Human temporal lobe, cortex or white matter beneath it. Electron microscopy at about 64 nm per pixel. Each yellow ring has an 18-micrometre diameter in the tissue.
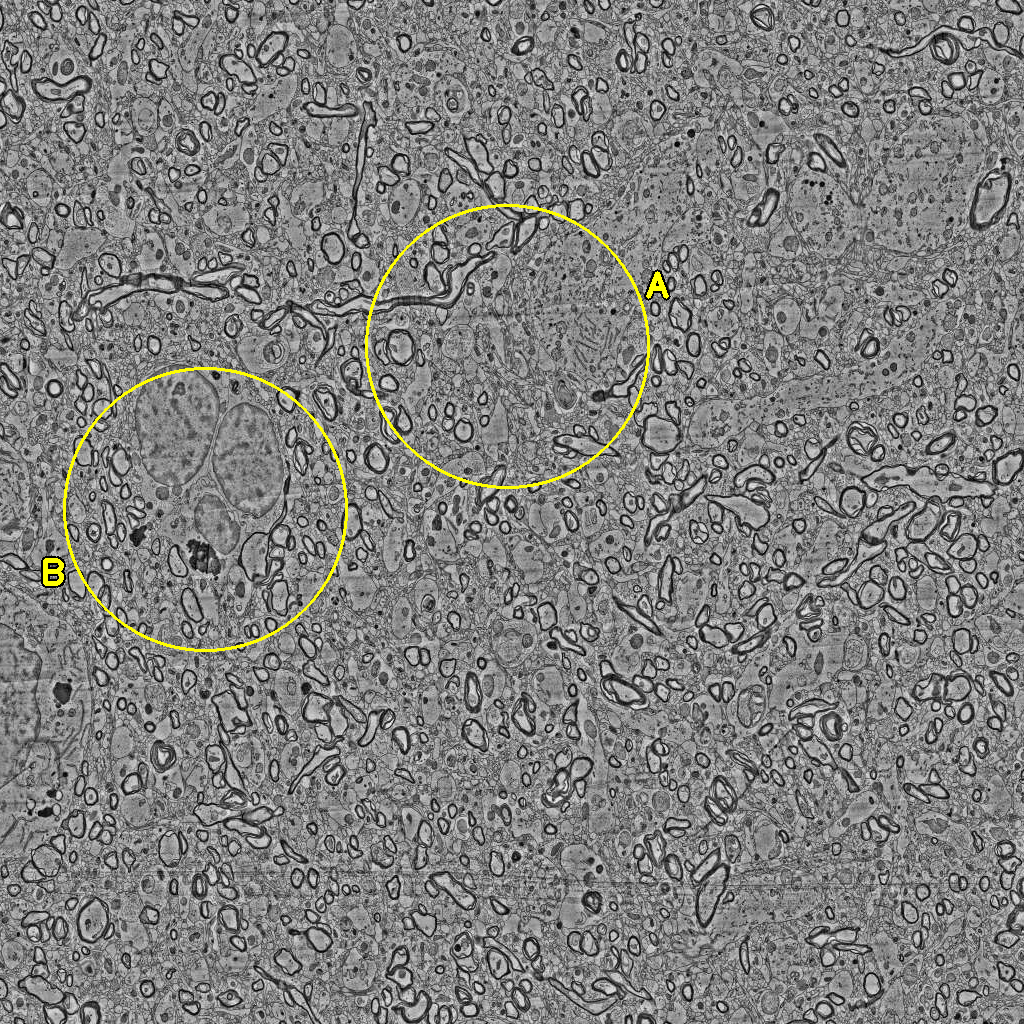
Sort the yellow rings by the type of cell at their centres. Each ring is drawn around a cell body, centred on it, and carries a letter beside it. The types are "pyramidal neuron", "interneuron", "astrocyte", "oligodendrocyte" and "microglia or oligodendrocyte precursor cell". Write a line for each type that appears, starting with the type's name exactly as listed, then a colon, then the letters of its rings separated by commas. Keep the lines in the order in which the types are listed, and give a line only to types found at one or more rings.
oligodendrocyte: B
microglia or oligodendrocyte precursor cell: A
